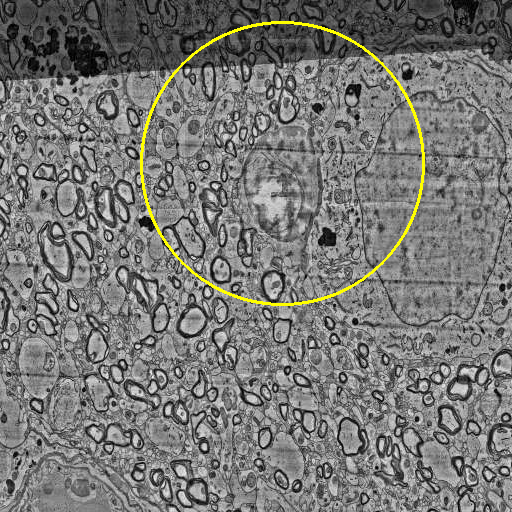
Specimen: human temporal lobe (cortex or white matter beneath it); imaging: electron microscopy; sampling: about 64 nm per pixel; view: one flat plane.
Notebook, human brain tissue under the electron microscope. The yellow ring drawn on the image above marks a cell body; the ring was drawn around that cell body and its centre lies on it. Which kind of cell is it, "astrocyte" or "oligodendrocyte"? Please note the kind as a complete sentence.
The marked cell body is that of an oligodendrocyte.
